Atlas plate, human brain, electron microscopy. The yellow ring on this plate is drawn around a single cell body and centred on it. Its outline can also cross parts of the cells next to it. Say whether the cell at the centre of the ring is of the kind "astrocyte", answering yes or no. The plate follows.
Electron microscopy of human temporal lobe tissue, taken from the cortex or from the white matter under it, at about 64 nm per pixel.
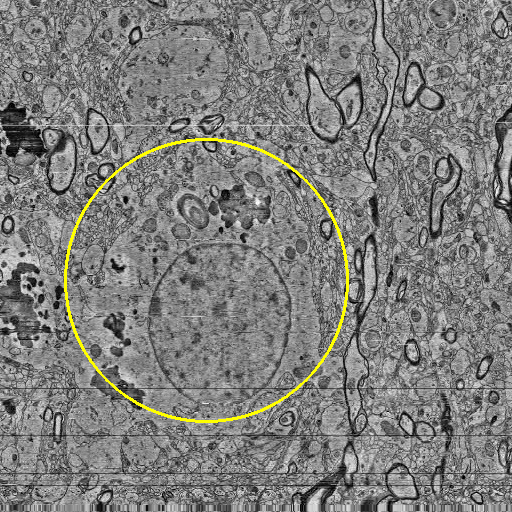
Yes, the cell is of that kind.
